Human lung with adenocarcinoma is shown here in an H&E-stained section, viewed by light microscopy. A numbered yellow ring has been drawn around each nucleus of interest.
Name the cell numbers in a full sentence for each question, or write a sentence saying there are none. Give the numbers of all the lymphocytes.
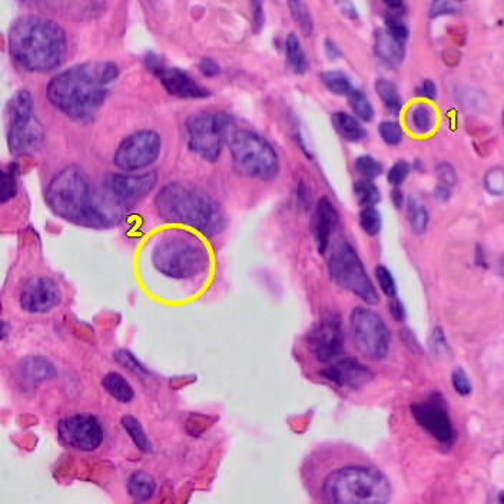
It is cell 1, and no other numbered cell, that is a lymphocyte.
